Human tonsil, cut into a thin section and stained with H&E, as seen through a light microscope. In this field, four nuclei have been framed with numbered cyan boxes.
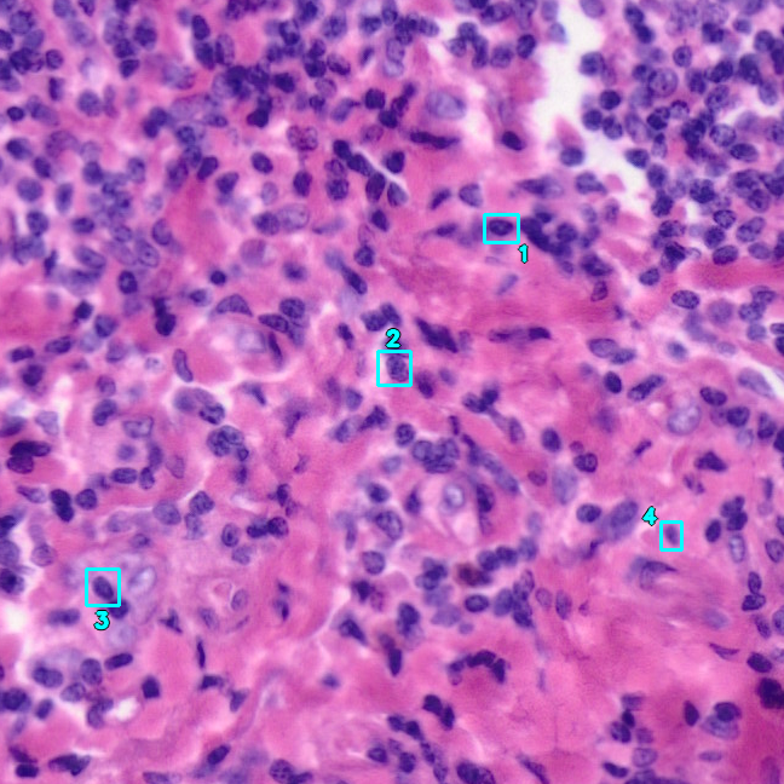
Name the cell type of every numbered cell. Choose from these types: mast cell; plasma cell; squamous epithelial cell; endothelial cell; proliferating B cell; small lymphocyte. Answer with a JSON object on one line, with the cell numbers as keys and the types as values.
{"1": "plasma cell", "2": "mast cell", "3": "endothelial cell", "4": "mast cell"}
